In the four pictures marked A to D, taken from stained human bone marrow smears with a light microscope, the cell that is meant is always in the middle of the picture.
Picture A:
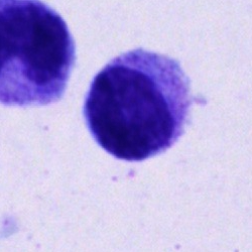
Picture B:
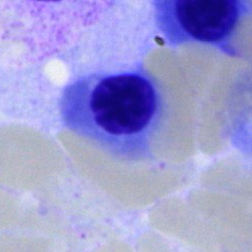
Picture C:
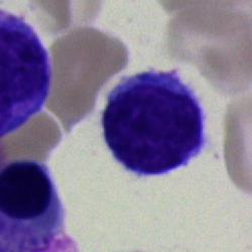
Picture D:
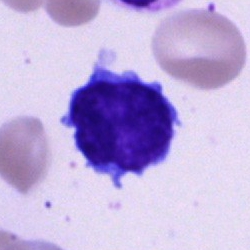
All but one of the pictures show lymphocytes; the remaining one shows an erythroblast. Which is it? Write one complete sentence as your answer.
Picture B is the one that shows the erythroblast.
